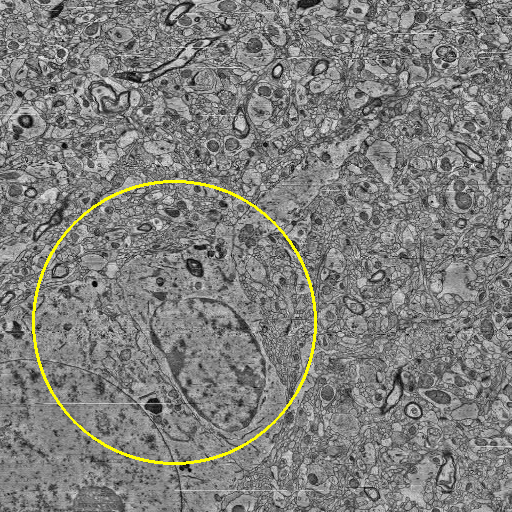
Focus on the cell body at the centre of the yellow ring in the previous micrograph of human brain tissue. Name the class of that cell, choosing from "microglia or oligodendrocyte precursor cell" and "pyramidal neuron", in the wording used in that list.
microglia or oligodendrocyte precursor cell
